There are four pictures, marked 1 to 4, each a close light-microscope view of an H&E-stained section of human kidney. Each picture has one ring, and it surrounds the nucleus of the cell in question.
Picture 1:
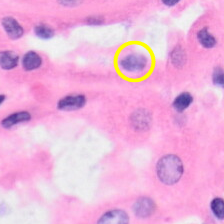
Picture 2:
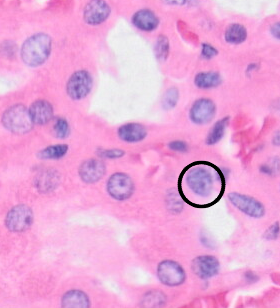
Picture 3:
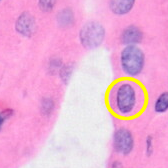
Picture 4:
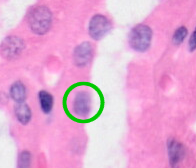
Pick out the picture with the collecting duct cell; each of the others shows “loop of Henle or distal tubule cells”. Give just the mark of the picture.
2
